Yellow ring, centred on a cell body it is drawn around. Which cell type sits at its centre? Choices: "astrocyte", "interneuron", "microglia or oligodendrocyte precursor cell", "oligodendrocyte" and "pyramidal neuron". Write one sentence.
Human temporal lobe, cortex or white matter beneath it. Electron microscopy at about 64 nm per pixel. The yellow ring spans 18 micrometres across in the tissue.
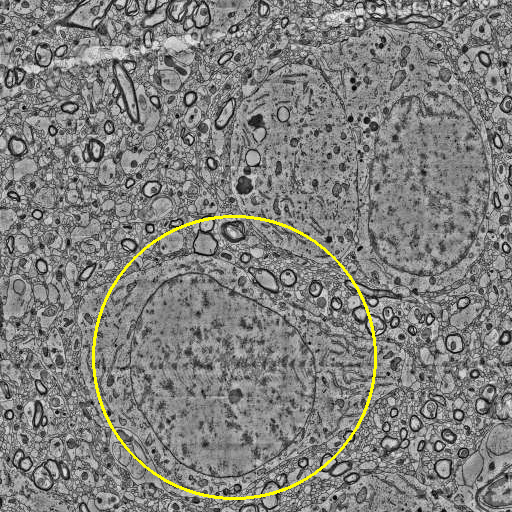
At the centre of the ring sits a pyramidal neuron.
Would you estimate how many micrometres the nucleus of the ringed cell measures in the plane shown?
The nucleus is approximately 13 micrometers across in this plane.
